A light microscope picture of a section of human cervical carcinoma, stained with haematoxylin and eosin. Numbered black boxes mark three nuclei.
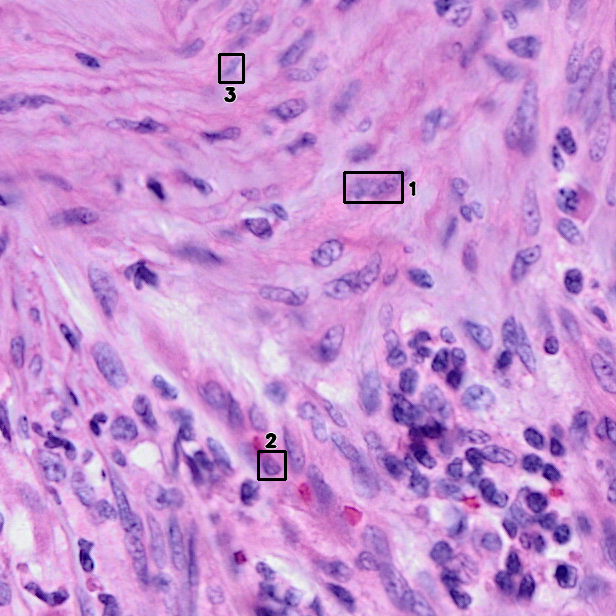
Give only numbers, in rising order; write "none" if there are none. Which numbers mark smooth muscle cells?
1, 3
